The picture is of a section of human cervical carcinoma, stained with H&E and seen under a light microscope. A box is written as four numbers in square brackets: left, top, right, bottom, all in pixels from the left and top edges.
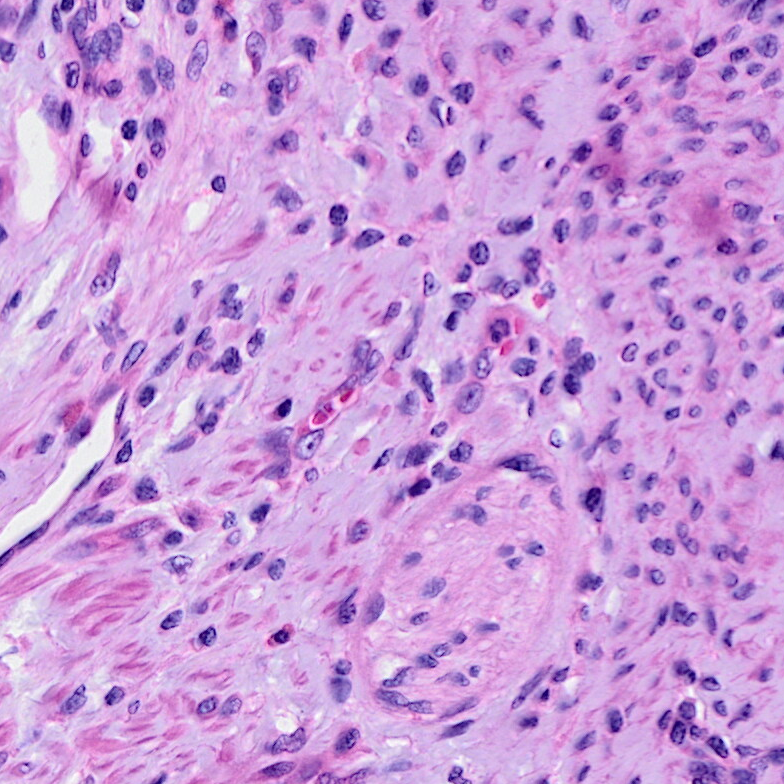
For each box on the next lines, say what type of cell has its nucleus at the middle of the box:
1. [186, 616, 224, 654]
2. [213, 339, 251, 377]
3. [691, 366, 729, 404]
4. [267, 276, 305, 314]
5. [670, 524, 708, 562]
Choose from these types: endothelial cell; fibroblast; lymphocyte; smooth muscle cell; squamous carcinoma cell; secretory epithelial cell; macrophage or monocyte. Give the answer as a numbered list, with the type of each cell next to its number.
1. lymphocyte
2. lymphocyte
3. smooth muscle cell
4. smooth muscle cell
5. smooth muscle cell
